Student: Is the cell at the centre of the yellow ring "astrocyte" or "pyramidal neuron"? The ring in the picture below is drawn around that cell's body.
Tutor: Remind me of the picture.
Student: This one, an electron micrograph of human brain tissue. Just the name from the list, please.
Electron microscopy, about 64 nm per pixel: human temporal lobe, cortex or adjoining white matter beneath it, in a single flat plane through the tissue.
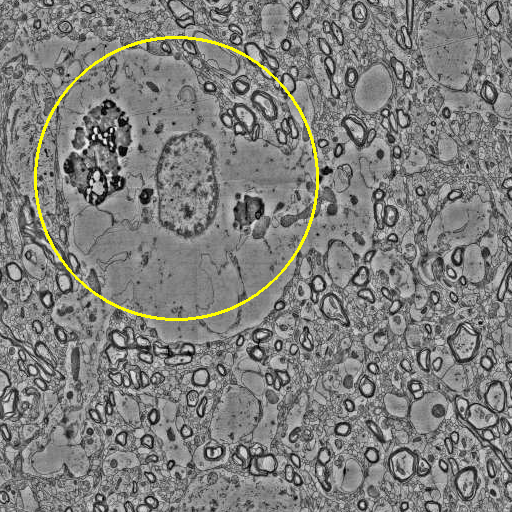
astrocyte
